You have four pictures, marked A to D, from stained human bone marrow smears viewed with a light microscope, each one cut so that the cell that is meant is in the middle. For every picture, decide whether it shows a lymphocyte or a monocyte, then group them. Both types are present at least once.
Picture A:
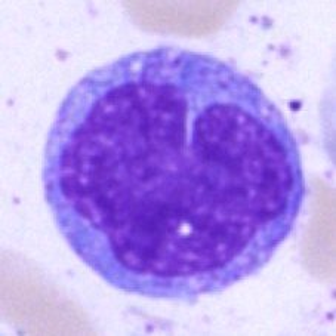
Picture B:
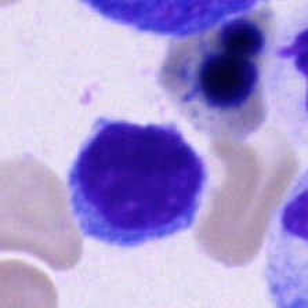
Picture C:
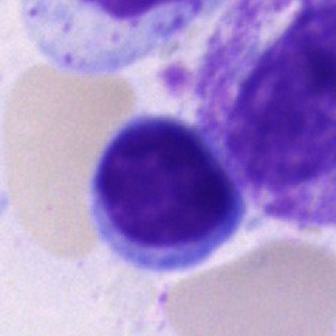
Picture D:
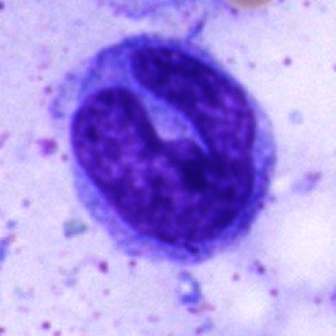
A: monocyte
B: lymphocyte
C: lymphocyte
D: monocyte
